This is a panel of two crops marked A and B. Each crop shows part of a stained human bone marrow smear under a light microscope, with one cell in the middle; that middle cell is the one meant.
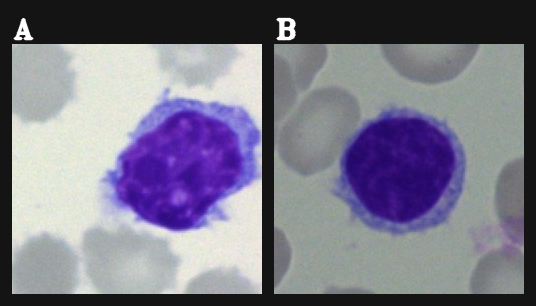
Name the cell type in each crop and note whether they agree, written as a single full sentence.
Yes, the crops both have lymphocytes in the middle.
